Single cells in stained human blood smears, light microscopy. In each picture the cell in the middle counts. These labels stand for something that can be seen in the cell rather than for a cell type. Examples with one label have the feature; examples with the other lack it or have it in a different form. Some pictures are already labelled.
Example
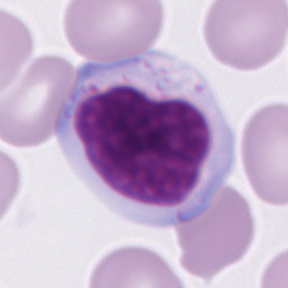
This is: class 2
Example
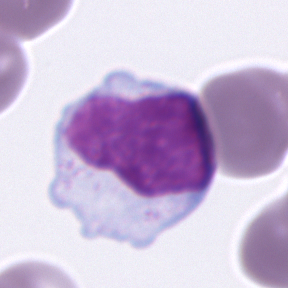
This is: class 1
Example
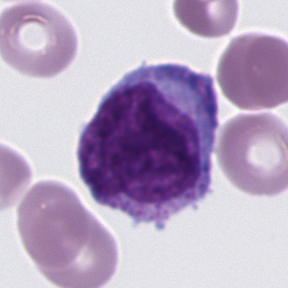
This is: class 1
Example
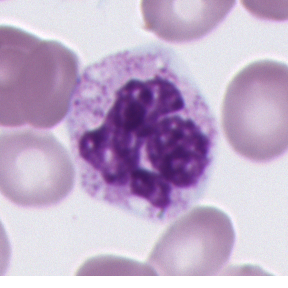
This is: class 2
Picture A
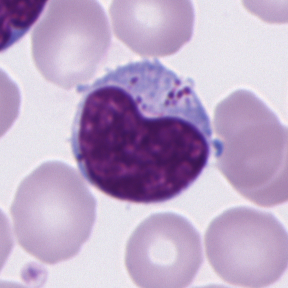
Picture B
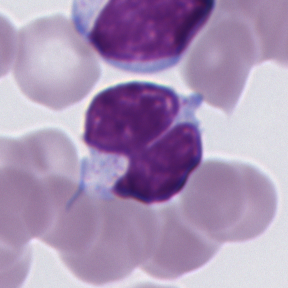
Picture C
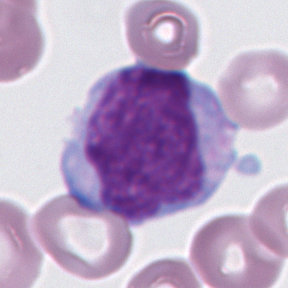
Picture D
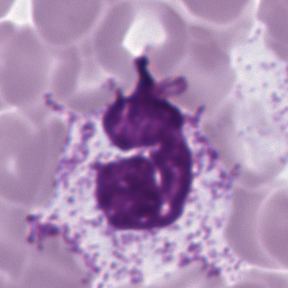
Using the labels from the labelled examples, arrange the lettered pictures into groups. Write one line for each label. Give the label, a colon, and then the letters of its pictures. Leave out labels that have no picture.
class 1: A, B, C, D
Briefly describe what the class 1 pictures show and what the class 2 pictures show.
In class 1: ragged outline or projections. In class 2: smooth outline.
